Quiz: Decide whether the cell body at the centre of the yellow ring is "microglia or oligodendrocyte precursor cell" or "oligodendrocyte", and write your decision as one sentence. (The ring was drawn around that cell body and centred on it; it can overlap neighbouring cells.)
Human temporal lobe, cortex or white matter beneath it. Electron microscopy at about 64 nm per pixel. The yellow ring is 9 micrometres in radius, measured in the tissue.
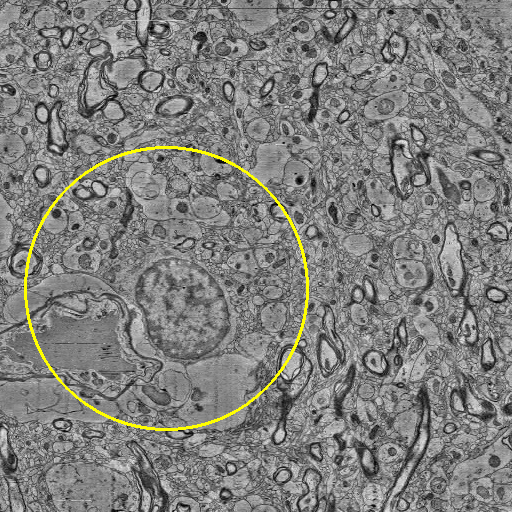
The cell the ring is centred on is an oligodendrocyte.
